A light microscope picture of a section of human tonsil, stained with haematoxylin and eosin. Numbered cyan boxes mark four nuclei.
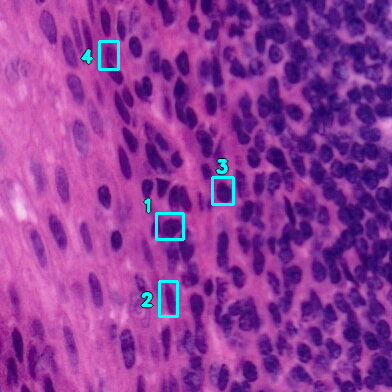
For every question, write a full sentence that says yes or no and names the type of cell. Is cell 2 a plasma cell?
No, number 2 belongs to a squamous epithelial cell, not to a plasma cell.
